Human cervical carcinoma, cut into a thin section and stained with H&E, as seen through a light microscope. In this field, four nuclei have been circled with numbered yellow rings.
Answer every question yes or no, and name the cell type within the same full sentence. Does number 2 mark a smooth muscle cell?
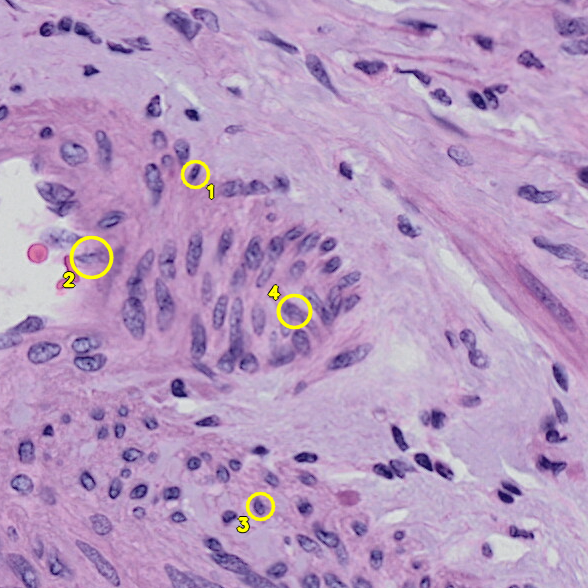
No, cell 2 does not represent a smooth muscle cell; it represents an endothelial cell.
